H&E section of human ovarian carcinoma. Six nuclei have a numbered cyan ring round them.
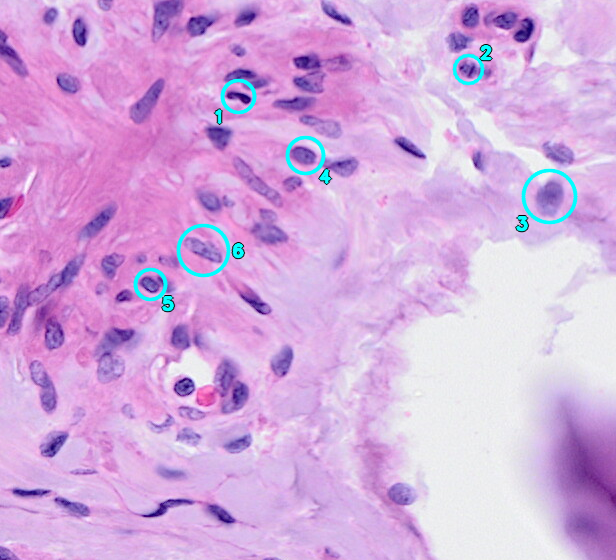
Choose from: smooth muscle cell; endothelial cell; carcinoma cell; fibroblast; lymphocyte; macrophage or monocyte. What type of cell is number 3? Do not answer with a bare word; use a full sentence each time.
Cell 3, among those numbered, is a fibroblast.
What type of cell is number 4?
At number 4, the marked cell is a smooth muscle cell.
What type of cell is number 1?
As for number 1, that cell is a smooth muscle cell.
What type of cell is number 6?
The cell bearing label 6 corresponds to a smooth muscle cell.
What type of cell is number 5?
Of the numbered cells, the one labelled 5 is a smooth muscle cell.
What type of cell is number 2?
The cell that goes by number 2 is an endothelial cell.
